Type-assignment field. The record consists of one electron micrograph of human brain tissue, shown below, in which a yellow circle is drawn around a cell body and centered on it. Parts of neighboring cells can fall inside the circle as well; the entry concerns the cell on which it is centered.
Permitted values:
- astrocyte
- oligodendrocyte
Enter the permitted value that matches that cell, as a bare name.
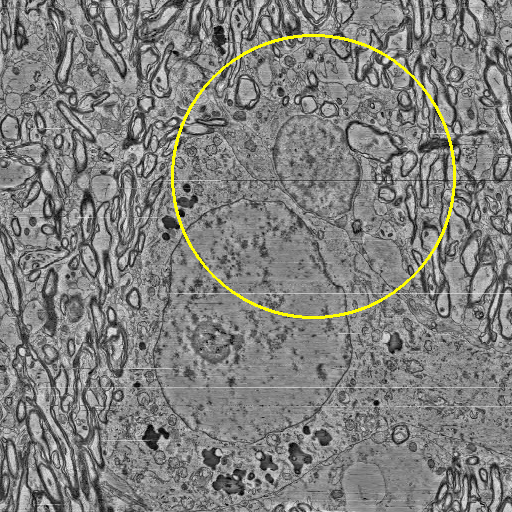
oligodendrocyte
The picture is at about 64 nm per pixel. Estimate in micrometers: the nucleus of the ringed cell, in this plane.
In this plane the nucleus measures roughly 7 by 5 micrometres.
